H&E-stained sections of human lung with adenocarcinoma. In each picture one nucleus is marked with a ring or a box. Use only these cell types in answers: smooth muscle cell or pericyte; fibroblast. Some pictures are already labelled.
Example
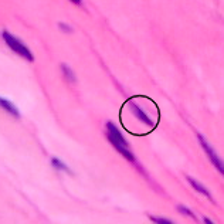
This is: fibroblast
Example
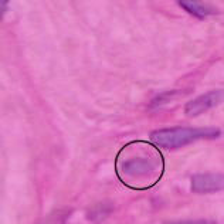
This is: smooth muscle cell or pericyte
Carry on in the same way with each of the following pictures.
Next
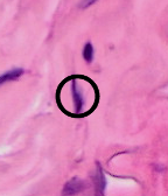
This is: fibroblast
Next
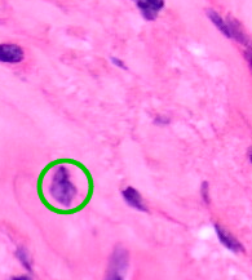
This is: fibroblast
